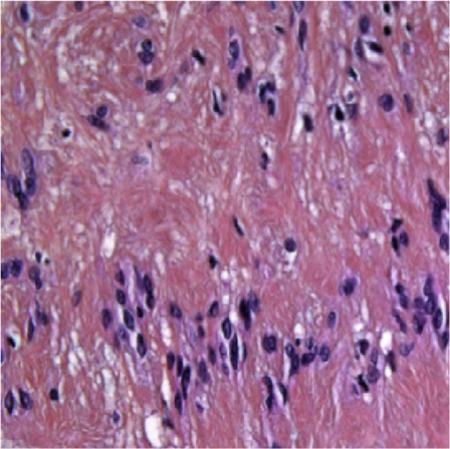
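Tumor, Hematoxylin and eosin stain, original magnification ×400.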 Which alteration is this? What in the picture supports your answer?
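Antoni A appearance. The tissue is compact and cellular, without large loose myxoid areas. Elongated nuclei run in bands through the pink fibrillary matrix.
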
